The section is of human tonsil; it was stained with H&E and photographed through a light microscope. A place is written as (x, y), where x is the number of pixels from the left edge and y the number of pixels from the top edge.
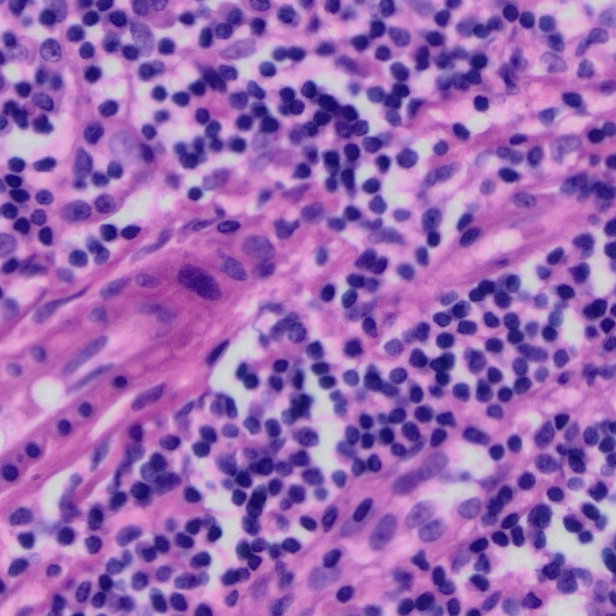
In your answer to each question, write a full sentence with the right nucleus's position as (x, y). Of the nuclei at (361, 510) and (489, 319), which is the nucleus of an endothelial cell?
Of these two nuclei, it is the one at (361, 510) that belongs to an endothelial cell.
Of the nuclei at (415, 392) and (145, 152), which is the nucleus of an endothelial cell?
The nucleus that belongs to an endothelial cell sits at (145, 152).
